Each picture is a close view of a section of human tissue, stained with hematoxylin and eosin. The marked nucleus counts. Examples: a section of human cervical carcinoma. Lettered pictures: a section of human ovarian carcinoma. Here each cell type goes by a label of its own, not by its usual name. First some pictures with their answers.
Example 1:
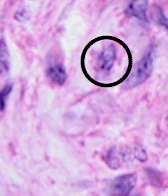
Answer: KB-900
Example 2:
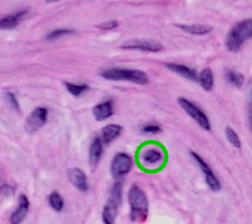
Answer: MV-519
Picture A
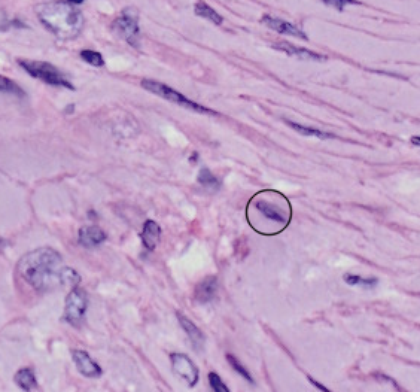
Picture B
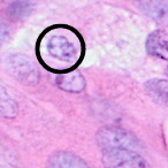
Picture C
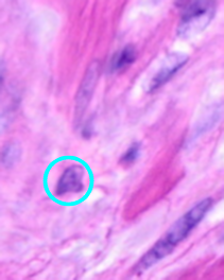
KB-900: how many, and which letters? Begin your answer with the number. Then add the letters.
2: B, C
